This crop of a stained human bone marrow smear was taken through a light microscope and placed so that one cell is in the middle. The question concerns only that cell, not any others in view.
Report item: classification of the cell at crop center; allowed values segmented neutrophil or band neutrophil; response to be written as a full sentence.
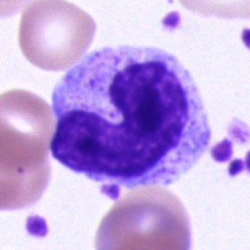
The cell of interest, located centrally, is a band neutrophil.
